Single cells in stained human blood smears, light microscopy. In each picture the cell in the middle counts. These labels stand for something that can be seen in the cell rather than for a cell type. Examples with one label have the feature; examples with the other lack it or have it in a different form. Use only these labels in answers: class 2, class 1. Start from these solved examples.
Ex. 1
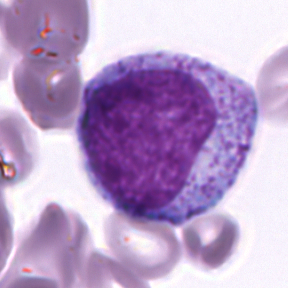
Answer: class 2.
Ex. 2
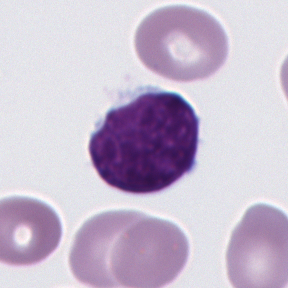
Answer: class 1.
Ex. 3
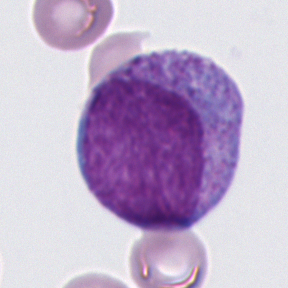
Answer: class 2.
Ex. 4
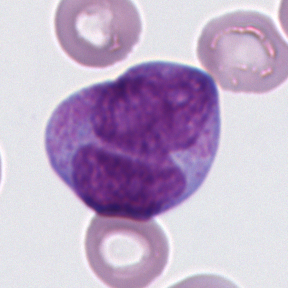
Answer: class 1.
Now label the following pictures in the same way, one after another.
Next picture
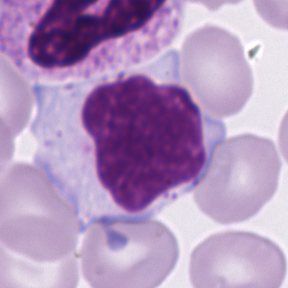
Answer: class 2.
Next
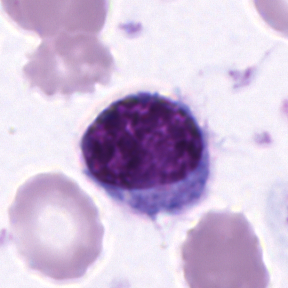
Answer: class 1.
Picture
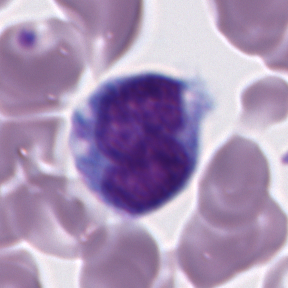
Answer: class 1.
